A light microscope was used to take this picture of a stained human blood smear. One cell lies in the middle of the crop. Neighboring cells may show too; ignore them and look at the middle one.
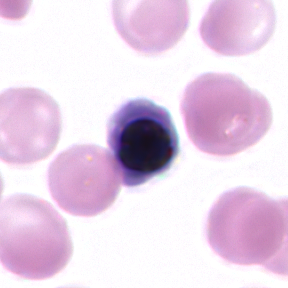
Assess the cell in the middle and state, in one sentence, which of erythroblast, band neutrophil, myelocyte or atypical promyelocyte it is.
The cell of interest, located centrally, is an erythroblast.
